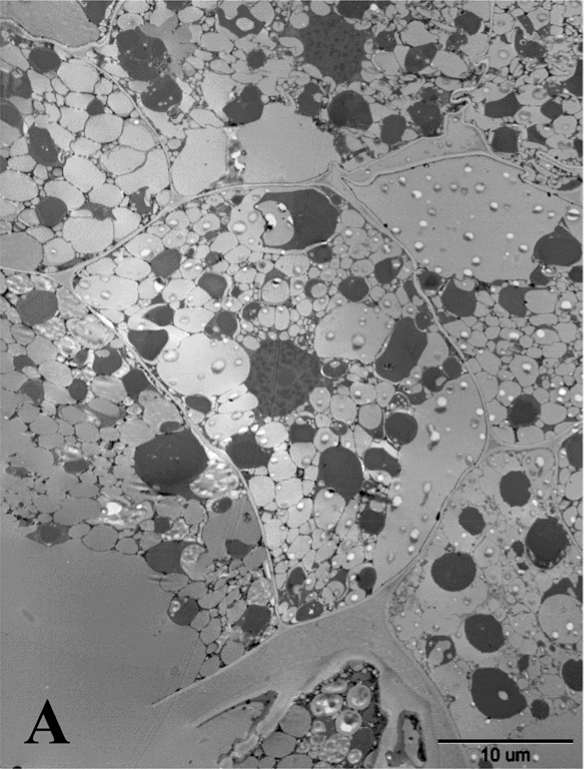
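Seed cells are seen at low magnification, bounded by thin, pale cell walls that meet in thicker junctions. Their contents are densely packed with many rounded, membrane-bounded compartments of very different sizes. Some compartments are pale gray, while others are much darker.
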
